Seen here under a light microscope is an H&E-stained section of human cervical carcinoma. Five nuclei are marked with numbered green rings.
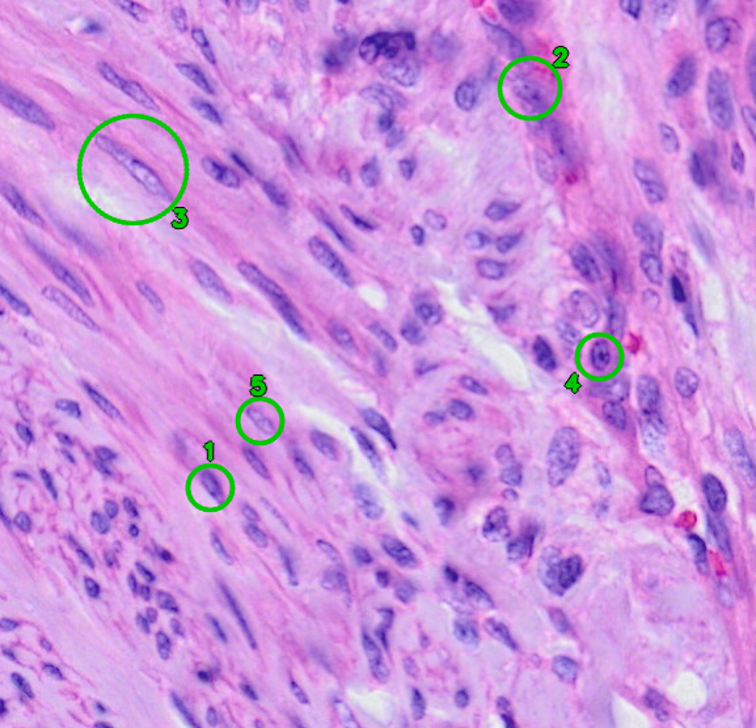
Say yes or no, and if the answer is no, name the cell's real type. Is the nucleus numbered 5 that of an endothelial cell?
No, it is a smooth muscle cell.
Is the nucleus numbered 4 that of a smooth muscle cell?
No, it is an endothelial cell.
